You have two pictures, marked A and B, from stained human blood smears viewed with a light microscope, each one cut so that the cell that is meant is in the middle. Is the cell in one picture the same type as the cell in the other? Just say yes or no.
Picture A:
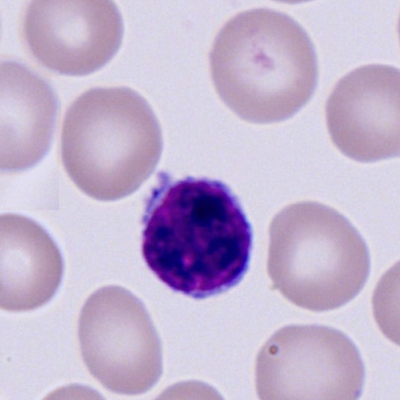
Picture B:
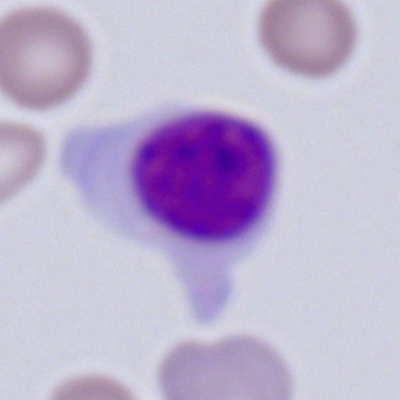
yes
